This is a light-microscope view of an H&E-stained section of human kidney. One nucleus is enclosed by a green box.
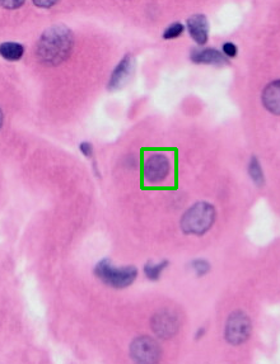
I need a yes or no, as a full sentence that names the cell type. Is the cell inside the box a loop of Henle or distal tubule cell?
No. Look again: the cell inside the box is a proximal tubule cell, not a loop of Henle or distal tubule cell.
